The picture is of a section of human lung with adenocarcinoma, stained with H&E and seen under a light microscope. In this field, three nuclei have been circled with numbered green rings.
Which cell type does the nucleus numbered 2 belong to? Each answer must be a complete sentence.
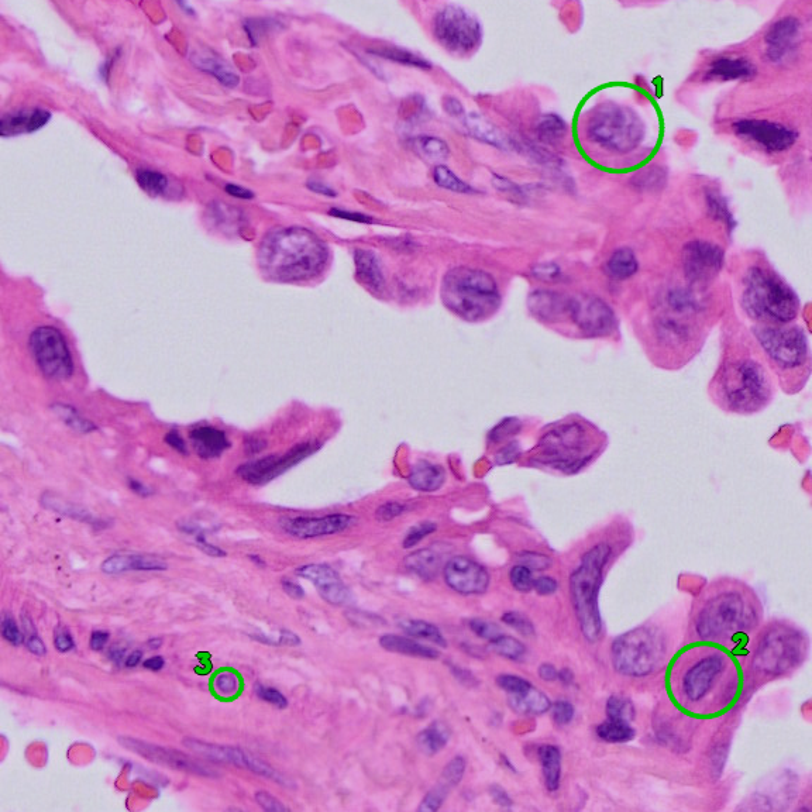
Number 2 among the marked cells is a carcinoma cell.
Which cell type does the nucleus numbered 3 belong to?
The one numbered 3 among the marked cells is a smooth muscle cell or pericyte.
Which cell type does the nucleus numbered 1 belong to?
The expected answer is that cell 1 is a carcinoma cell.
